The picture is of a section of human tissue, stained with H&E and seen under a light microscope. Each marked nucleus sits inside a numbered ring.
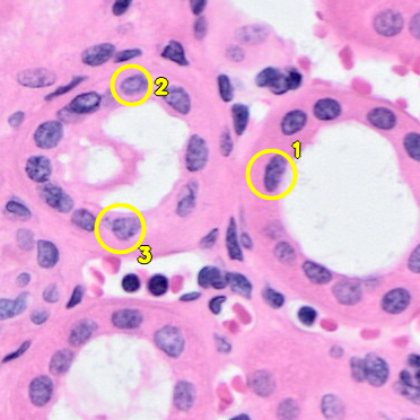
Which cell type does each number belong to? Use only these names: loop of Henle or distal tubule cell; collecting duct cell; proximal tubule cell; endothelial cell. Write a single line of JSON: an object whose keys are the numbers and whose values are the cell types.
{"1": "loop of Henle or distal tubule cell", "2": "collecting duct cell", "3": "collecting duct cell"}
